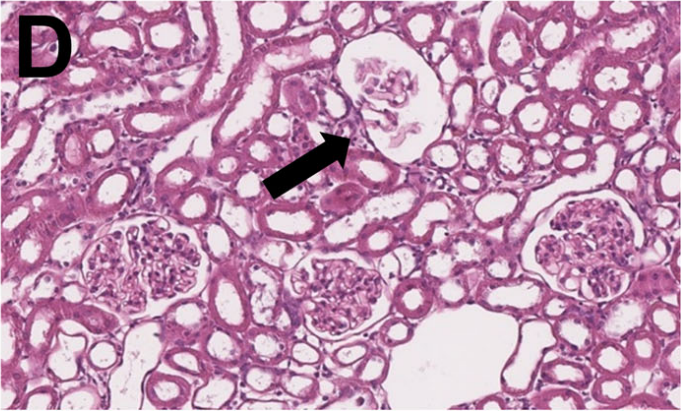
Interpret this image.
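This is kidney cortex stained pink and purple, with several round glomeruli lying among cross-sectioned tubules. The tubules have open, clear lumens lined by pink epithelial cells with dark round nuclei, and many appear widened. Most glomeruli are dense, purple-dotted tufts filling their capsules, but one near the top is a small crumpled tuft sitting in a large empty capsular space.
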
